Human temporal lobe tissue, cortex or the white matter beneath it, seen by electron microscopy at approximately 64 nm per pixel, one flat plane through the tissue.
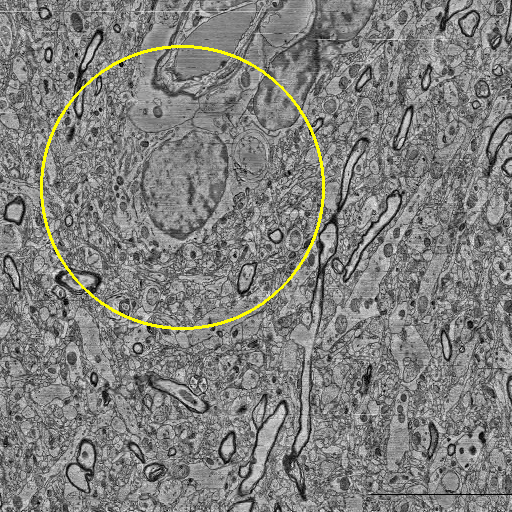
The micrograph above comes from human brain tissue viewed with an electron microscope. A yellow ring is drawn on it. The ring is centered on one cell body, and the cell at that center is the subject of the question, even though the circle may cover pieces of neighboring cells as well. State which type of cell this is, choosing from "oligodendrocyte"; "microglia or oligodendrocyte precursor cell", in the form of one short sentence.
The cell the ring is centered on is a microglial cell or oligodendrocyte precursor cell.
